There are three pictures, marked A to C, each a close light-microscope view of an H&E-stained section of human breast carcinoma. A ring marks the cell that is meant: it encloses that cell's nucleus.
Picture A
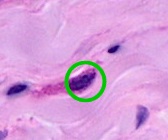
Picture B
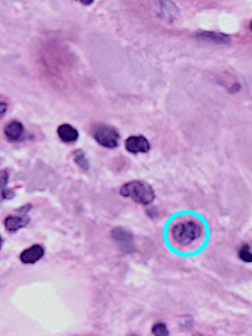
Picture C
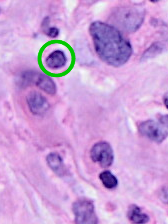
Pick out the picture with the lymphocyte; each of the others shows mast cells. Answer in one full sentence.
Picture C shows the lymphocyte.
